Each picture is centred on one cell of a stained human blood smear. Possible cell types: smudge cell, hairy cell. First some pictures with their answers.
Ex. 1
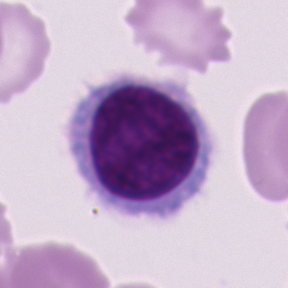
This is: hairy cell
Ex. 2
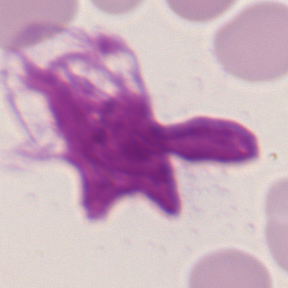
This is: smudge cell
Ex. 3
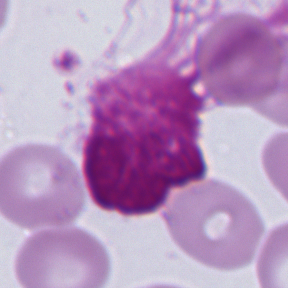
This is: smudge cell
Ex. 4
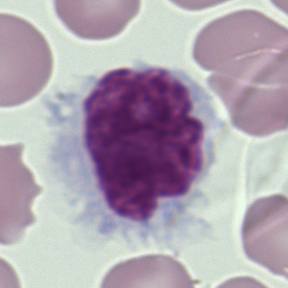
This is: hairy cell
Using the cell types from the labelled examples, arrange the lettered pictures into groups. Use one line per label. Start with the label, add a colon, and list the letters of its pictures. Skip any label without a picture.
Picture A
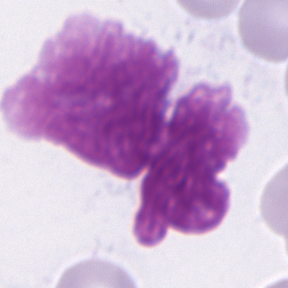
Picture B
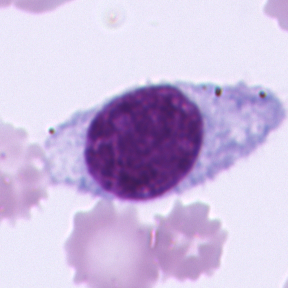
smudge cell: A
hairy cell: B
